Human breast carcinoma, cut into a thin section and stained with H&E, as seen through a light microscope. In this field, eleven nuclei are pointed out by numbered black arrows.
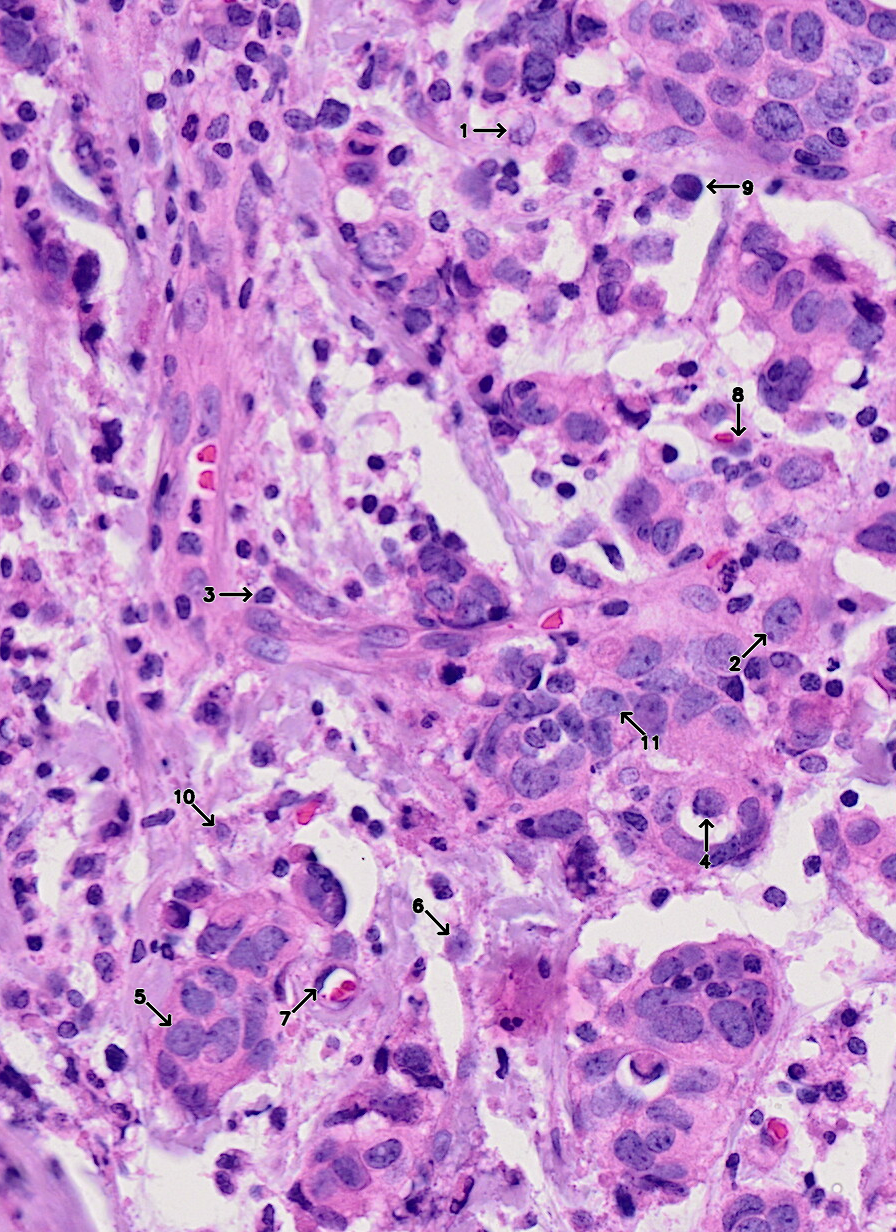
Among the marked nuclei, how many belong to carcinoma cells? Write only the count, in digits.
5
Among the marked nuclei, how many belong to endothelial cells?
2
